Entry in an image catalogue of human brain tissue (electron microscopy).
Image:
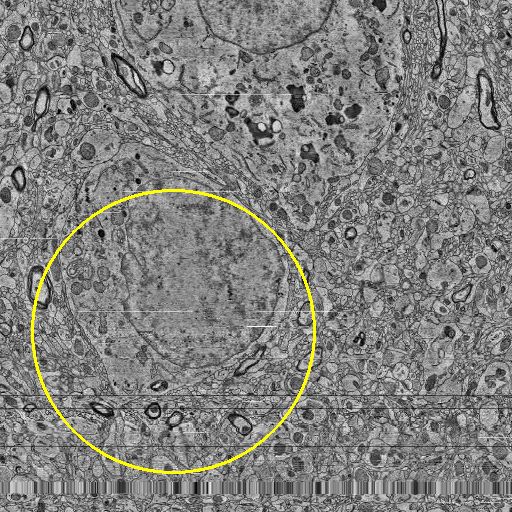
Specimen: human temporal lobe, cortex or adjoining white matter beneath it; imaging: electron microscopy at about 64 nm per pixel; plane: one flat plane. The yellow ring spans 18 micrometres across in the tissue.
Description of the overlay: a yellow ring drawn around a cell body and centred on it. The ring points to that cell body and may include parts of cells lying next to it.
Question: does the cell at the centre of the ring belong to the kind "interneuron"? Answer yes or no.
yes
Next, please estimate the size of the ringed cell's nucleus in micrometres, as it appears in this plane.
Roughly 13 by 10 micrometres in this plane, for the nucleus of the ringed cell.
